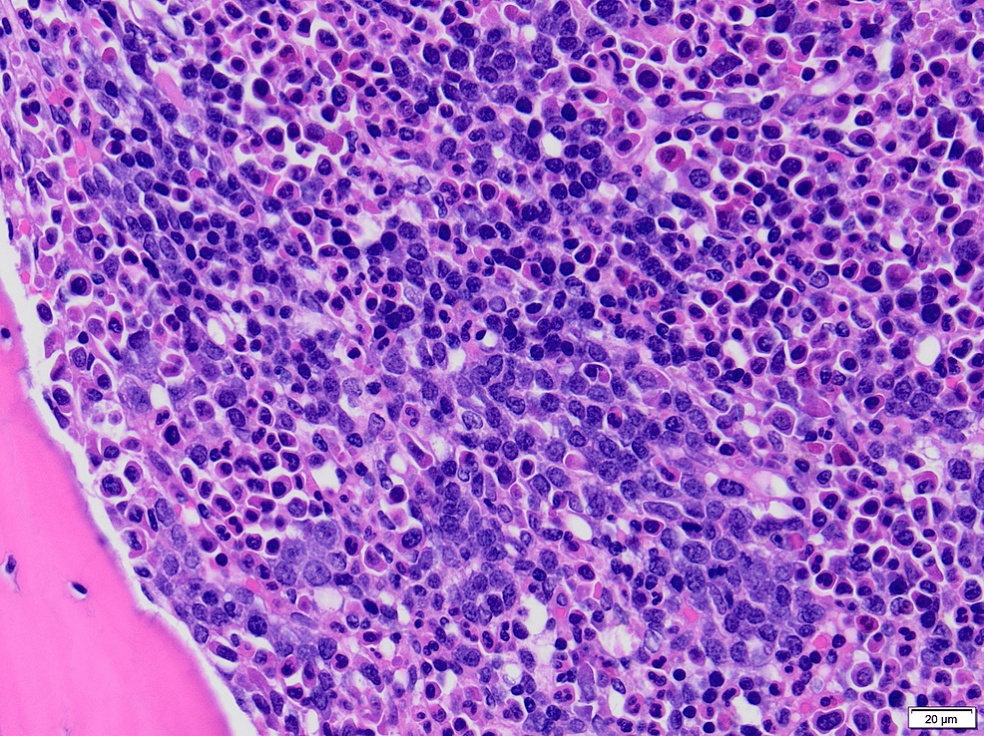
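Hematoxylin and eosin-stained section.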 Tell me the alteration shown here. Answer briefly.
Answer: Clusters of erythroblasts.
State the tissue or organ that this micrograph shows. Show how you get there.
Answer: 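Bone marrow. A pink, acellular bony trabecula with a few small lacunae lies along the left edge. The space beside the bone is densely packed with mixed hematopoietic cells.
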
